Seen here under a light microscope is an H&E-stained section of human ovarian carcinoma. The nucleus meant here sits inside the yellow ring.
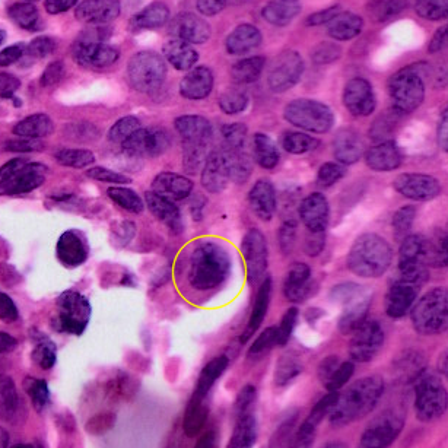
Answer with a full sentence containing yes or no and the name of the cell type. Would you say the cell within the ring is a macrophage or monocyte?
No, in this section the cell within the ring is a carcinoma cell and not a macrophage or monocyte.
